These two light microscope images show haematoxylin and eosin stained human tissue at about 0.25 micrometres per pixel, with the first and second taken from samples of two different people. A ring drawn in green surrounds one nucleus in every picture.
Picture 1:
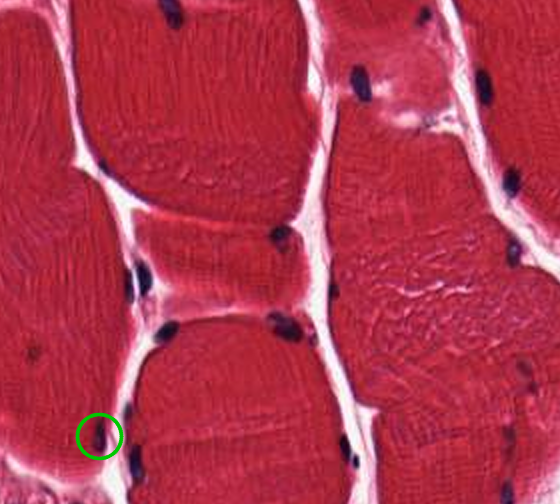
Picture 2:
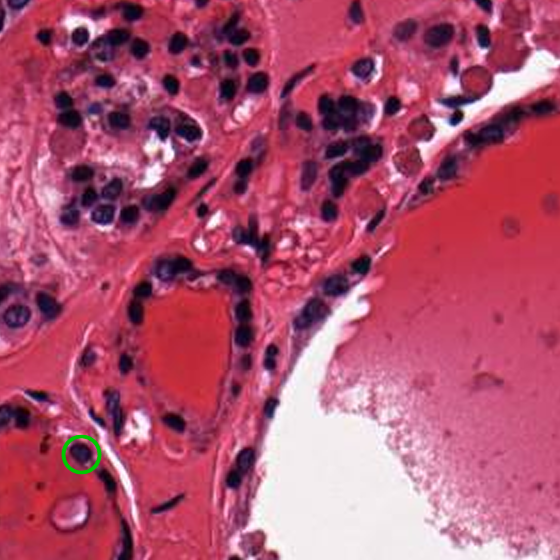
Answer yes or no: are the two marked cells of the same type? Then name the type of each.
No, the first is a skeletal muscle fibre and the second a thyroid follicular cell.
